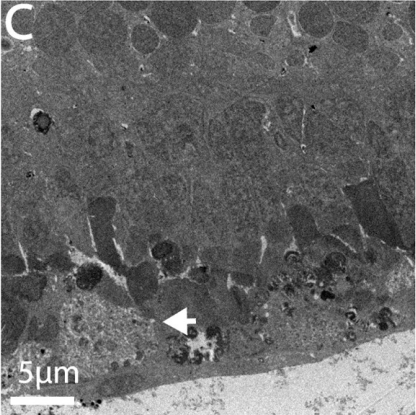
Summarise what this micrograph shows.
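The orderly rows of elongated profiles are largely lost, and the layers blur into one another. Near the base, a pale, vacuolated region holds clumps of dark, irregular debris, marked by an arrow. Only a few scattered dark granules remain instead of a continuous pigmented band.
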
